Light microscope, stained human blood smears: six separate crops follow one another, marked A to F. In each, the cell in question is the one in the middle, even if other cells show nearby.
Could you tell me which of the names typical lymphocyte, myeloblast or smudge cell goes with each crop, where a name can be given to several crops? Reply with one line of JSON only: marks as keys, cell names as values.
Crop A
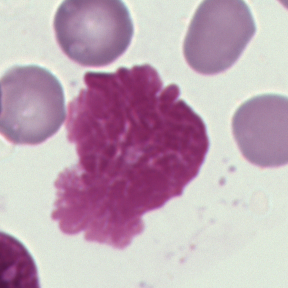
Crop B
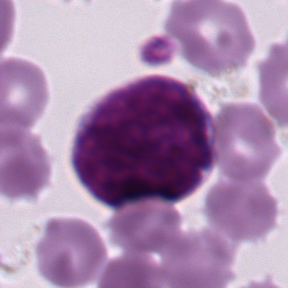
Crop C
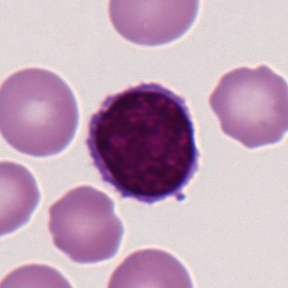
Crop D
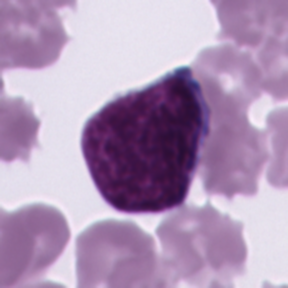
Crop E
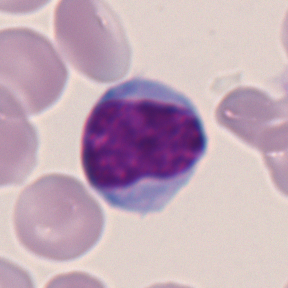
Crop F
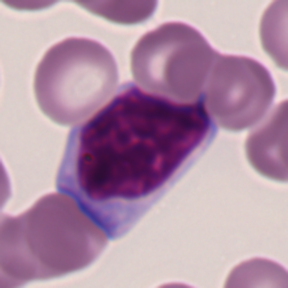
{"A": "smudge cell", "B": "myeloblast", "C": "typical lymphocyte", "D": "myeloblast", "E": "typical lymphocyte", "F": "typical lymphocyte"}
